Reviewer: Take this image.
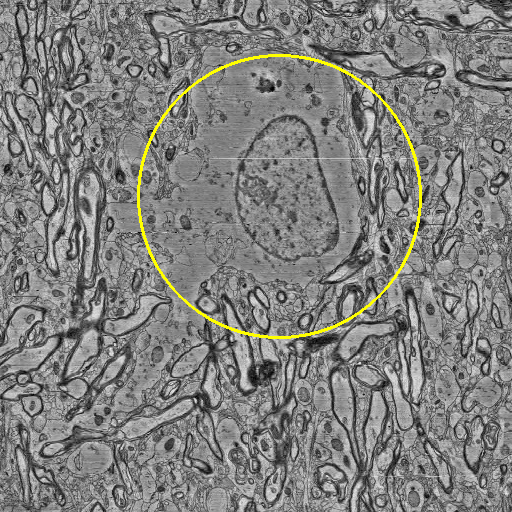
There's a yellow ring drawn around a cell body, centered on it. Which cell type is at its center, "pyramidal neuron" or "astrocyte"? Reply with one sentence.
At the center of the yellow ring is an astrocyte.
